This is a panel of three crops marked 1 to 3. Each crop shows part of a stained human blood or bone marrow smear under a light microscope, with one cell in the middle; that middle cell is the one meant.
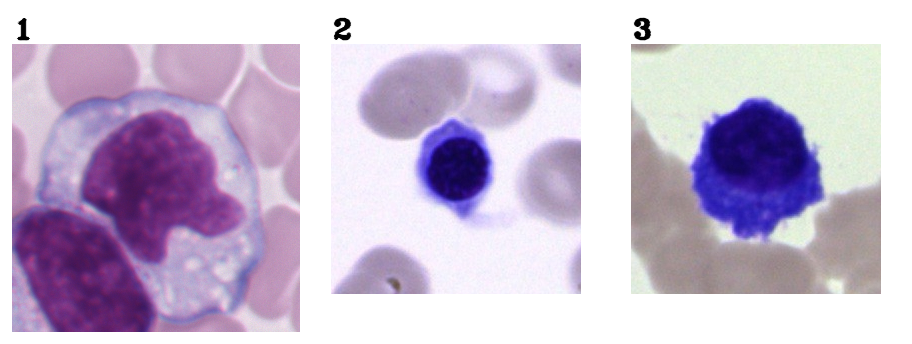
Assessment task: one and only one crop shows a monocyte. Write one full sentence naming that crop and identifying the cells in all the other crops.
Depicted in crop 1 is a monocyte, while crop 2 is an erythroblast and crop 3 is a plasma cell.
